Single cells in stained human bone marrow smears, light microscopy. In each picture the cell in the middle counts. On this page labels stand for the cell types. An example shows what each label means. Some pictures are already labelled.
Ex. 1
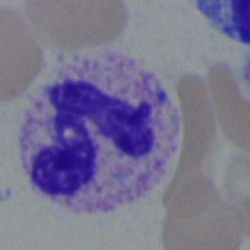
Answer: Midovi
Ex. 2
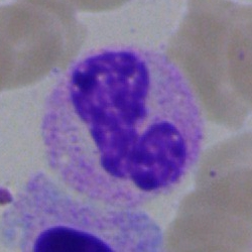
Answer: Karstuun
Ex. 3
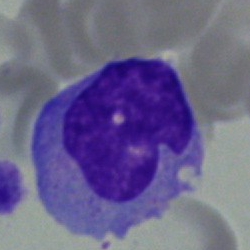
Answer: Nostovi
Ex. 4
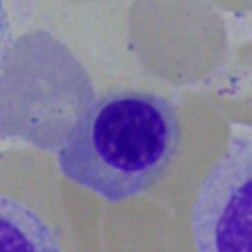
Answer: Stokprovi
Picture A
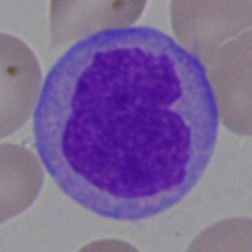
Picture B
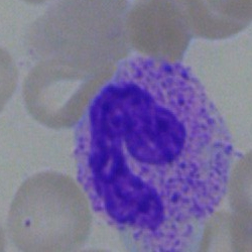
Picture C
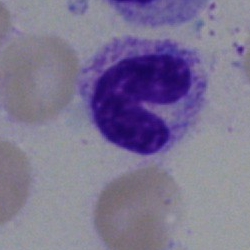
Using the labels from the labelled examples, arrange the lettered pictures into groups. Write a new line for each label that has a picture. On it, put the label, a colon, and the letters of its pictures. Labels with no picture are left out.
Karstuun: B, C
Nostovi: A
